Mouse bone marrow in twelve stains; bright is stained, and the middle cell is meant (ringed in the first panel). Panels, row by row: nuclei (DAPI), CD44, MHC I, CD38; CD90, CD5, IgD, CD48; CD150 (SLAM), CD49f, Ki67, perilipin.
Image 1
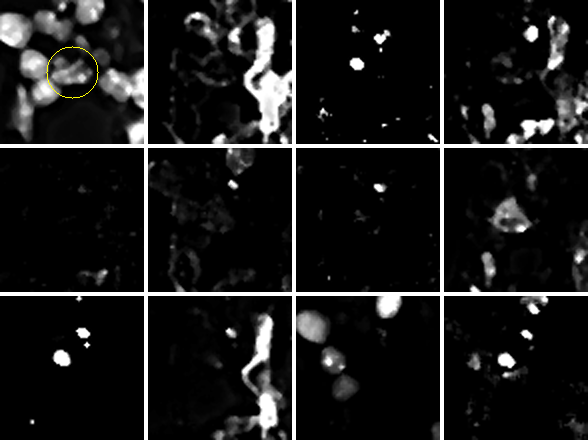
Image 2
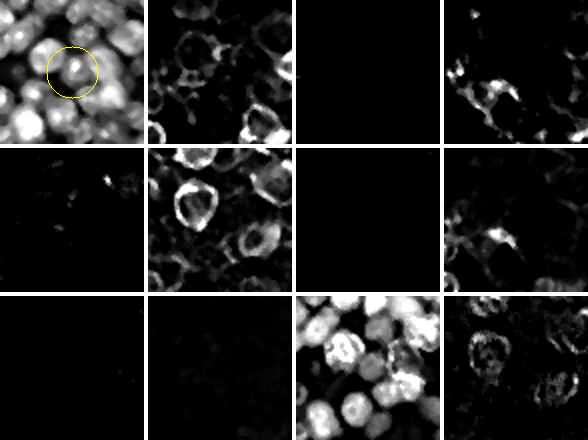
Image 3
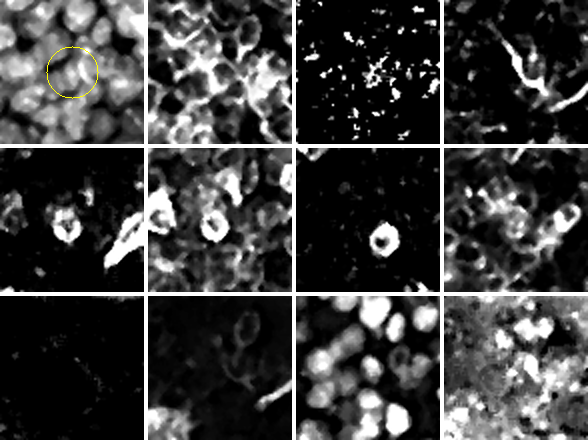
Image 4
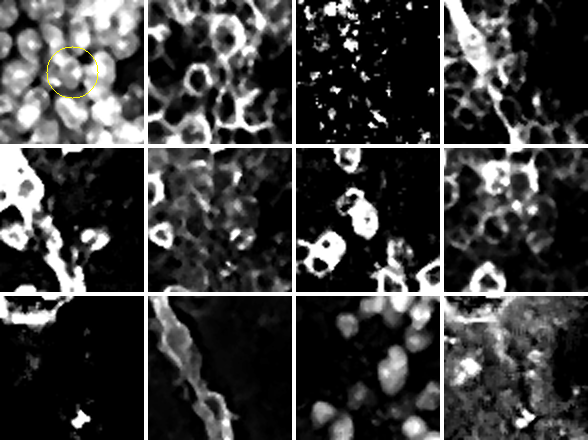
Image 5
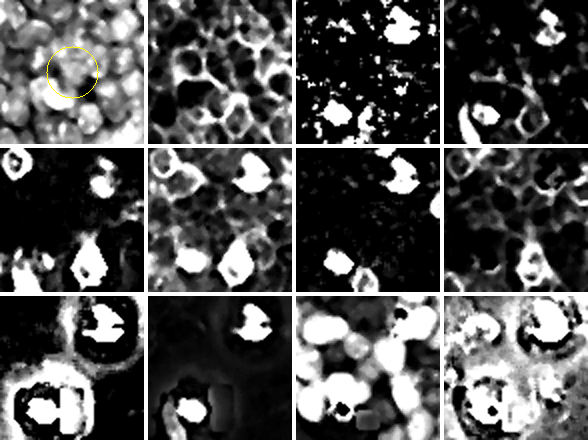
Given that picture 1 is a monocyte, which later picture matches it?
5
